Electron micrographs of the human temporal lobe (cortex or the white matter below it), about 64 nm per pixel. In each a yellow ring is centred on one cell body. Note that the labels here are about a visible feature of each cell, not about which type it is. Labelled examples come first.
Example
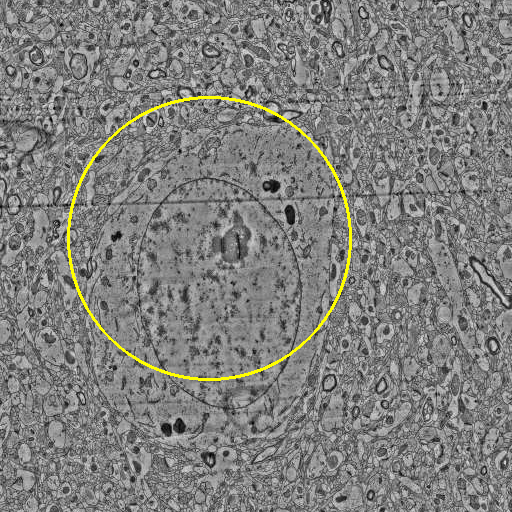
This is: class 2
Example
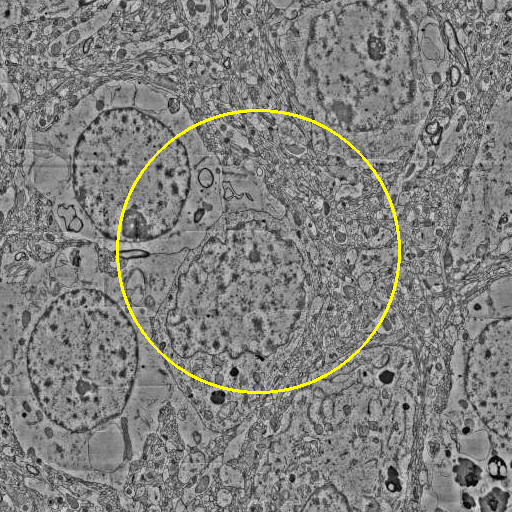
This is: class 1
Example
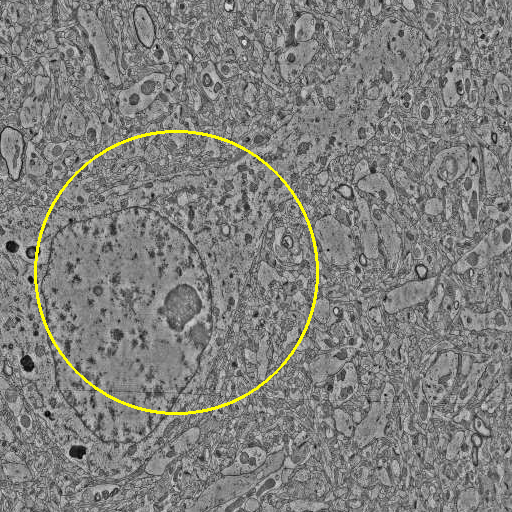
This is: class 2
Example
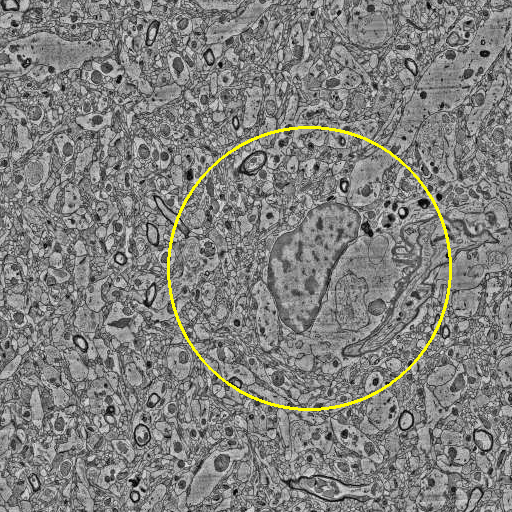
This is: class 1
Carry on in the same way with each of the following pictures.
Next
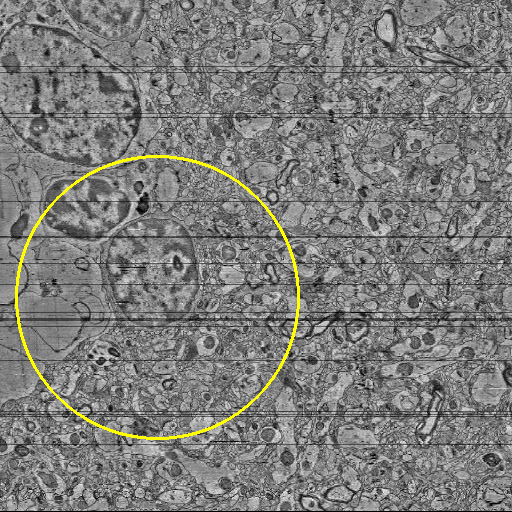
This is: class 2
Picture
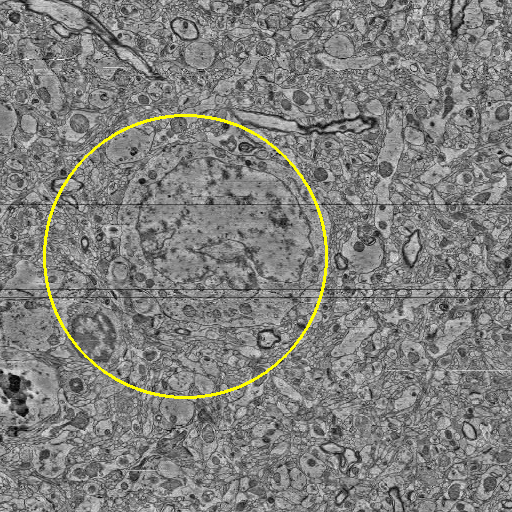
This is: class 1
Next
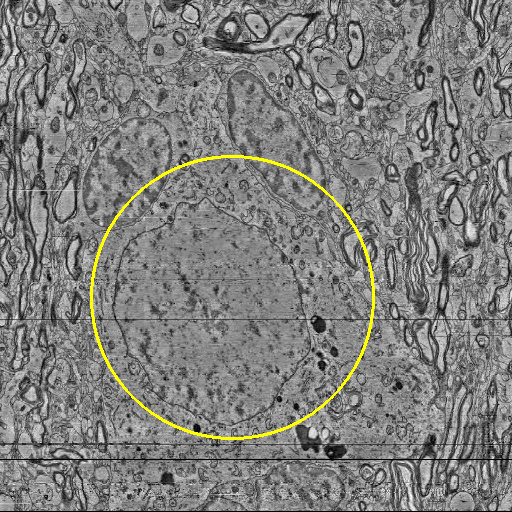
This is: class 1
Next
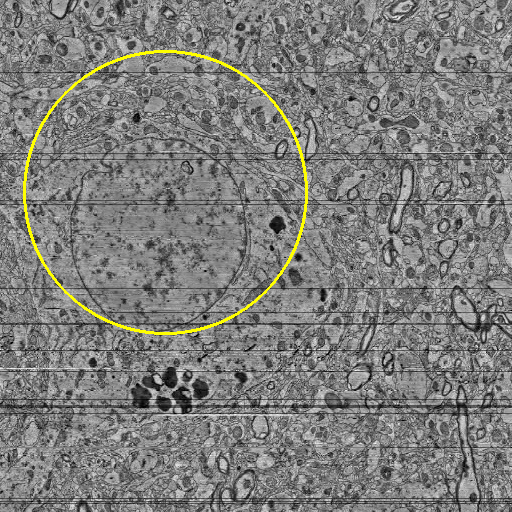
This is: class 1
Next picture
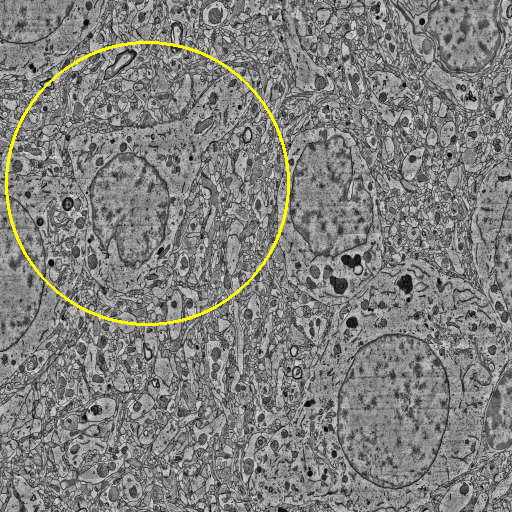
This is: class 1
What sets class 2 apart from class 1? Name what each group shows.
class 2: nucleolus seen; class 1: no nucleolus seen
